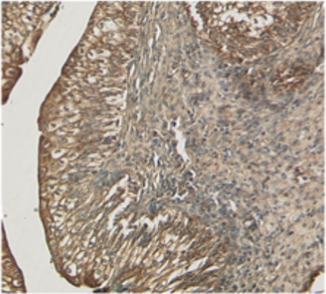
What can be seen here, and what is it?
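This is a thick benign urothelium folded around a core of connective tissue, with the lumen as white space on the left. The surface layer of umbrella cells facing the lumen is stained deep brown, while the cells beneath are elongated, stacked and show brown outlines around blue nuclei. Toward the basal side the staining becomes paler.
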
